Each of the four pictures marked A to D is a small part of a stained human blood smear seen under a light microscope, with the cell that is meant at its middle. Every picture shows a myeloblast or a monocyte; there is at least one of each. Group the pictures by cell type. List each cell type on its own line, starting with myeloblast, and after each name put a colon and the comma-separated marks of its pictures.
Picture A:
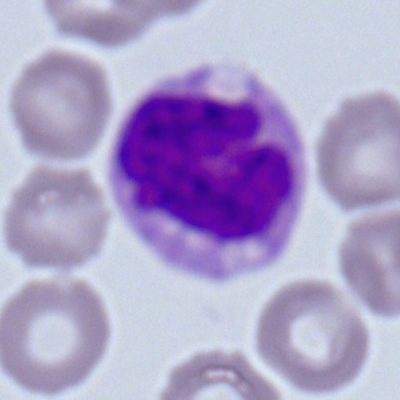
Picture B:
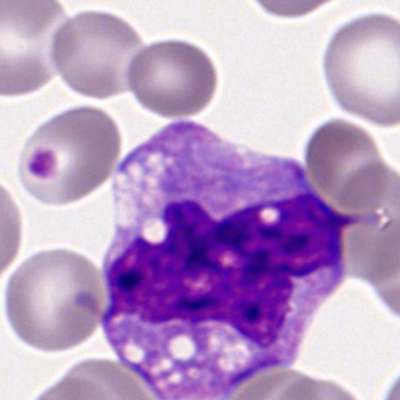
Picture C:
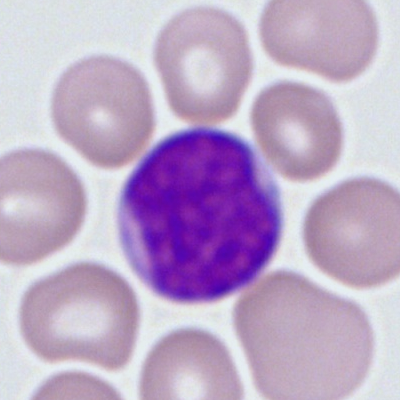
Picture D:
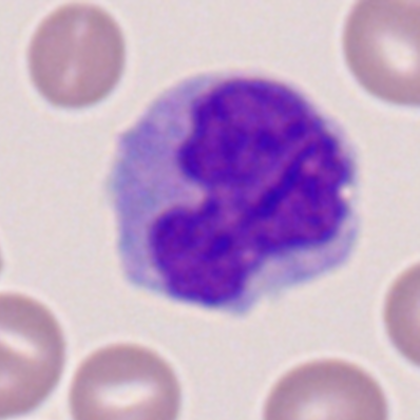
myeloblast: C
monocyte: A, B, D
